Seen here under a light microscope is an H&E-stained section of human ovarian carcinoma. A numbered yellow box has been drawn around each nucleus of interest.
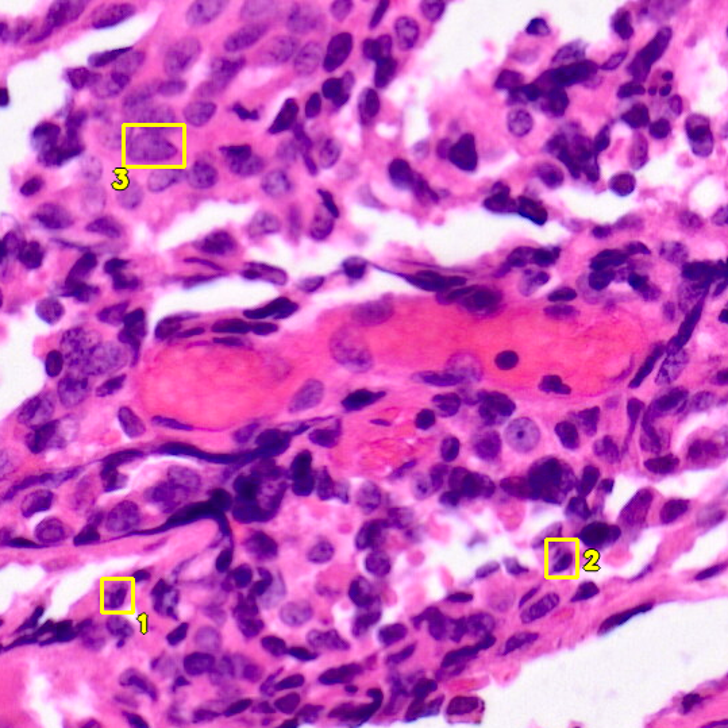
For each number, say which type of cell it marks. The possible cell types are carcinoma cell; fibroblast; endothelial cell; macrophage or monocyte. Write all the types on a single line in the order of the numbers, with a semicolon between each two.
macrophage or monocyte; macrophage or monocyte; carcinoma cell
